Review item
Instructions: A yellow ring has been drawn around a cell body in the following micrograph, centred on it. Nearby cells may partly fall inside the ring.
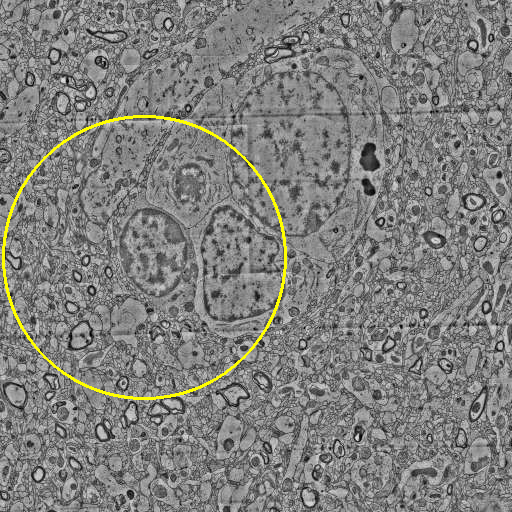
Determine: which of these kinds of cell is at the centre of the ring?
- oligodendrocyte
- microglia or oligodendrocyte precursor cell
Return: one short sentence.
The cell body in the middle of the ring is that of an oligodendrocyte.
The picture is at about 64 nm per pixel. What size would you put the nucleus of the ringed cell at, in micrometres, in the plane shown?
About 6 micrometres by about 4 micrometres in this plane.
